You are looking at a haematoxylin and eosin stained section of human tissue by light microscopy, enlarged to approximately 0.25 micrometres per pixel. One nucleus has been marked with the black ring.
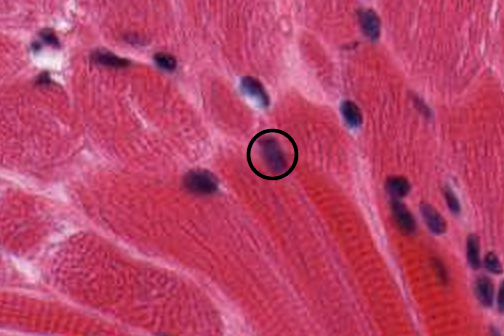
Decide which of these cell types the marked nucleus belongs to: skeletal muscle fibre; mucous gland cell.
skeletal muscle fibre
